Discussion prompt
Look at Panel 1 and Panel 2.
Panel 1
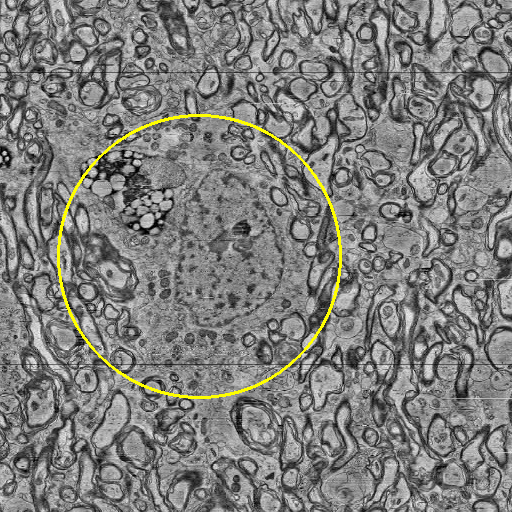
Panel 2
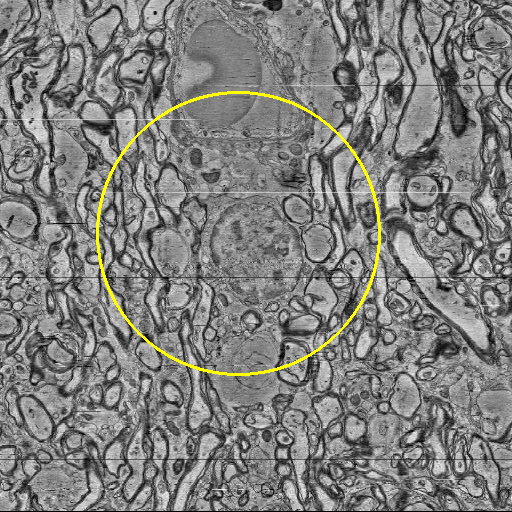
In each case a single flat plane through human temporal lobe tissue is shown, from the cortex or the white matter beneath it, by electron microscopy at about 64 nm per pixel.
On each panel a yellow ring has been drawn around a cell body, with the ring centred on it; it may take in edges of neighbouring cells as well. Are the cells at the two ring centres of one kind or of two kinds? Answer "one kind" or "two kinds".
two kinds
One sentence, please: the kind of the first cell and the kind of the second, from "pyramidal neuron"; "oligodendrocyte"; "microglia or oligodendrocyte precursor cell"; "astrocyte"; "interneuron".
The ring in the first picture surrounds an astrocyte, and the ring in the second surrounds an oligodendrocyte.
